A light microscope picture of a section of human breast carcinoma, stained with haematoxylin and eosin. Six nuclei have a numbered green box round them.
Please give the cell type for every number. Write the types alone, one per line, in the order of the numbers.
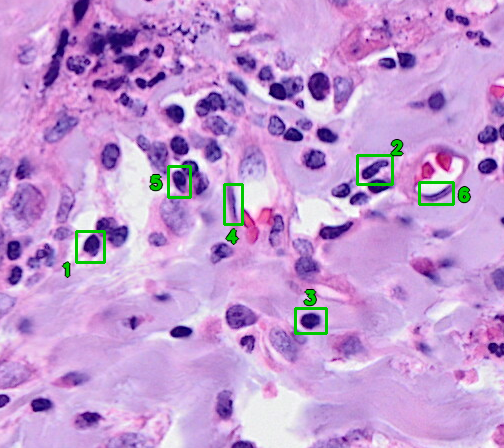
lymphocyte
lymphocyte
lymphocyte
endothelial cell
lymphocyte
endothelial cell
